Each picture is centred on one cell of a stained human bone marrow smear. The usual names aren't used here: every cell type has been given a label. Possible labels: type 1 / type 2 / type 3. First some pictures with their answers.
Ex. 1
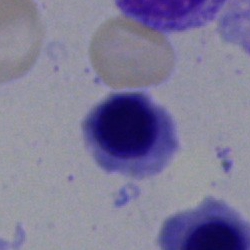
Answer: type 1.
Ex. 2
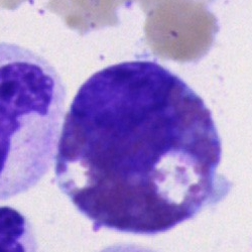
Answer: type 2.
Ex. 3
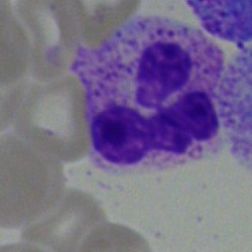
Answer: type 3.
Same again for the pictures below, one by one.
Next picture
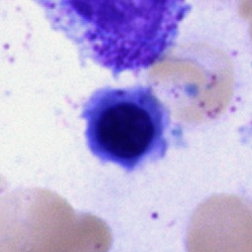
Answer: type 1.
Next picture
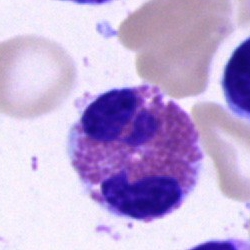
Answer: type 2.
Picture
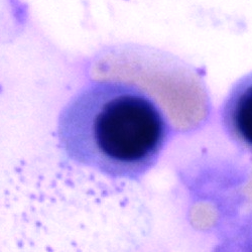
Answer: type 1.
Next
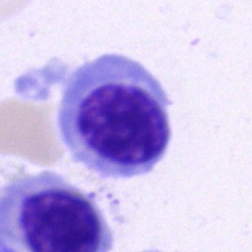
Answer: type 1.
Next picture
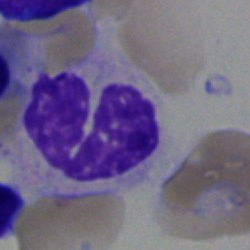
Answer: type 3.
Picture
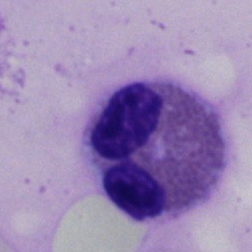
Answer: type 2.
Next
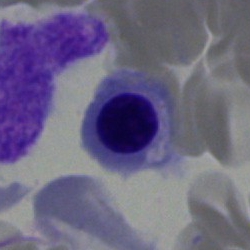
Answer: type 1.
